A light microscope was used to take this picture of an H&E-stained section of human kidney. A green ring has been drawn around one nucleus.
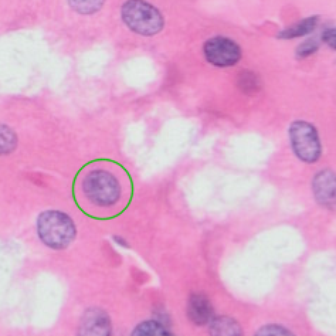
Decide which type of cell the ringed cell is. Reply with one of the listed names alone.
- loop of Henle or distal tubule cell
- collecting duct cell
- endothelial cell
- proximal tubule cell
proximal tubule cell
